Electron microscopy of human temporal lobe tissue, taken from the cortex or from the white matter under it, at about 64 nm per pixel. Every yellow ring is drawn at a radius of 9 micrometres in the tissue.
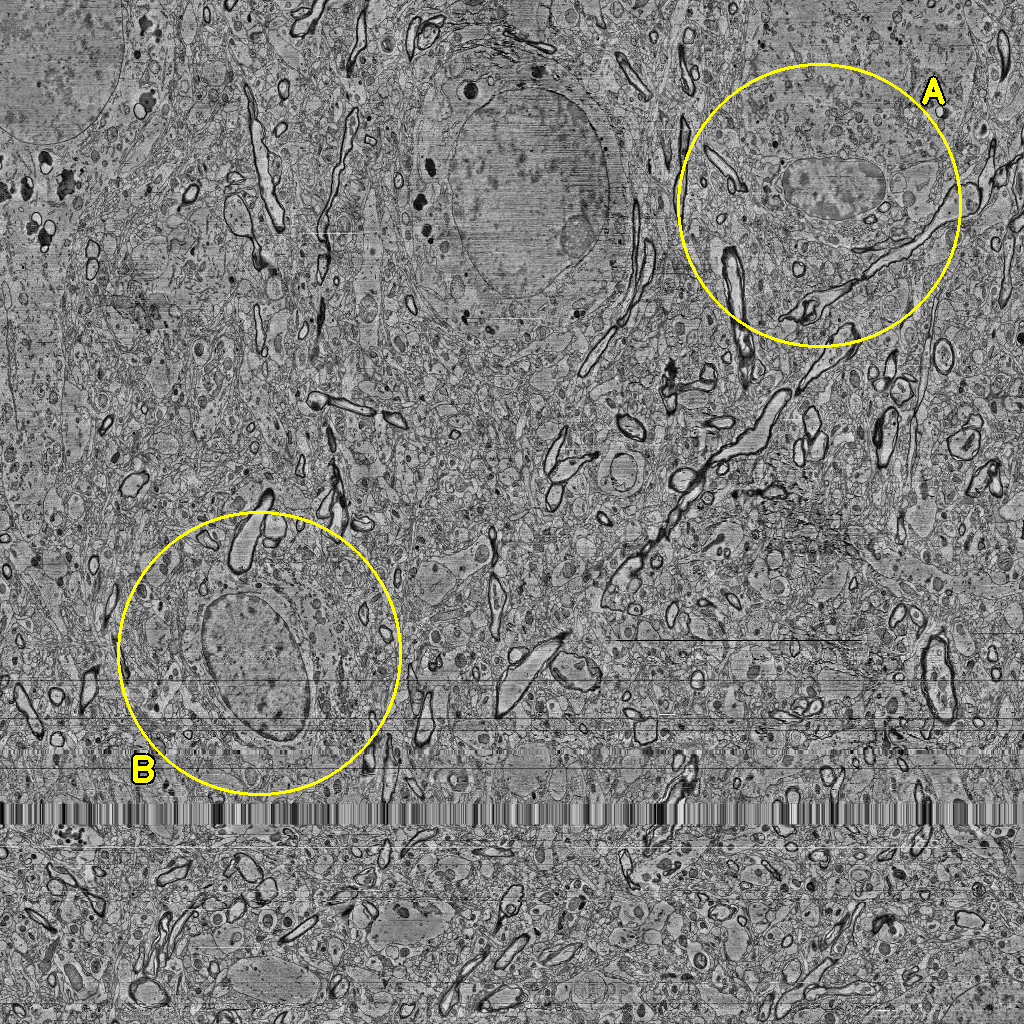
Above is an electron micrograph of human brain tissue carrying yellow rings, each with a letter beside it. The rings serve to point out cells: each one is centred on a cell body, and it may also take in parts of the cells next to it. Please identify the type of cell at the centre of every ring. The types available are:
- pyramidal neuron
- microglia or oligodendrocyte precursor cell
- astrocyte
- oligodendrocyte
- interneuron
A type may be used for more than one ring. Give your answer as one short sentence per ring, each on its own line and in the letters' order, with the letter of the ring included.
Ring A points to the cell body of a microglial cell or oligodendrocyte precursor cell.
Ring B points to the cell body of a microglial cell or oligodendrocyte precursor cell.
